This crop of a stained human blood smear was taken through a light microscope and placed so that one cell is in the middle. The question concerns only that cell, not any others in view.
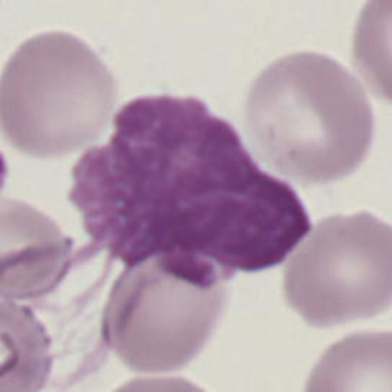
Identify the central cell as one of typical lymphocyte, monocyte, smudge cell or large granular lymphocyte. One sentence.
The centered cell in this crop is a smudge cell.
